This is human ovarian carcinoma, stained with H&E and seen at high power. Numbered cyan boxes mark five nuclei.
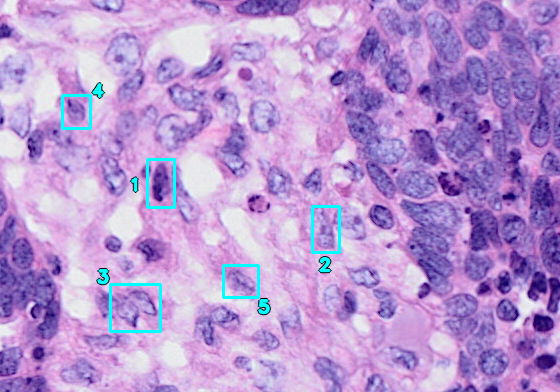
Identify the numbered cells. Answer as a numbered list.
1. macrophage or monocyte
2. fibroblast
3. fibroblast
4. macrophage or monocyte
5. fibroblast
